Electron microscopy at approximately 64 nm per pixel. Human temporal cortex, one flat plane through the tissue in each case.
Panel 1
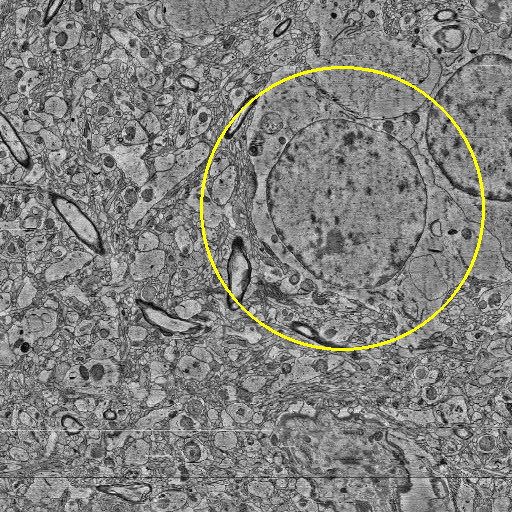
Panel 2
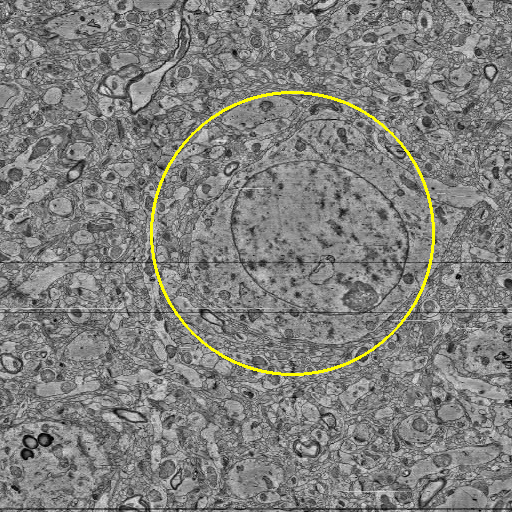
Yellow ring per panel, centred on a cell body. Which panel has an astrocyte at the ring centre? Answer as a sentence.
Panel 1 shows it at the ring centre.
